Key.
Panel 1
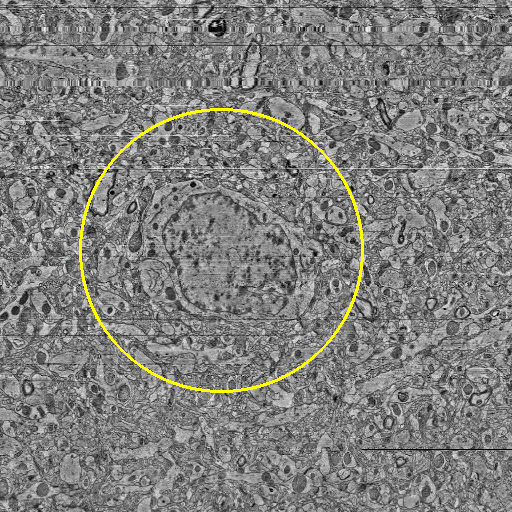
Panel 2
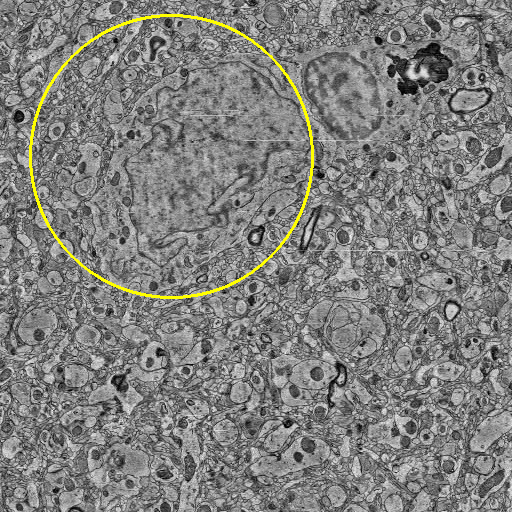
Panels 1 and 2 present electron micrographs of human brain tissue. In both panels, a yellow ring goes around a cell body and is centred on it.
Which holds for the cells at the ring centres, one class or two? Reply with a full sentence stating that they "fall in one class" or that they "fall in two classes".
Taken together, the ring-centre cells of the two panels fall in one class.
